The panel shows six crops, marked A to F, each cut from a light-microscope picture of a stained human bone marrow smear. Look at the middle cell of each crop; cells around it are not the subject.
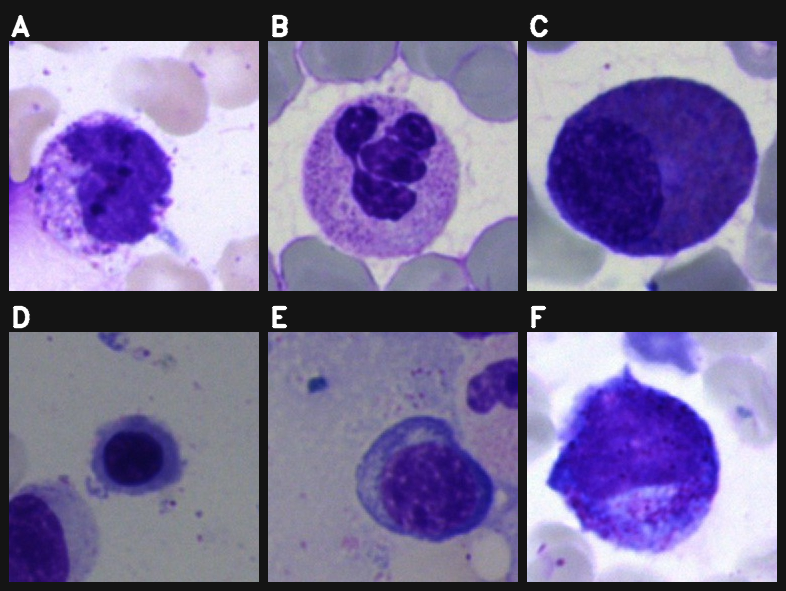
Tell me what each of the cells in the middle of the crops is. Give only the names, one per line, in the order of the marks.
basophil
segmented neutrophil
eosinophil
erythroblast
erythroblast
promyelocyte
